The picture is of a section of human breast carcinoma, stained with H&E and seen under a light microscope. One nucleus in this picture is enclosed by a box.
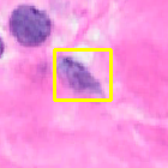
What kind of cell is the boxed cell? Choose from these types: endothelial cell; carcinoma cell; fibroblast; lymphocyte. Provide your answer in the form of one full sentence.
Considered by cell type, the boxed cell is a fibroblast.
